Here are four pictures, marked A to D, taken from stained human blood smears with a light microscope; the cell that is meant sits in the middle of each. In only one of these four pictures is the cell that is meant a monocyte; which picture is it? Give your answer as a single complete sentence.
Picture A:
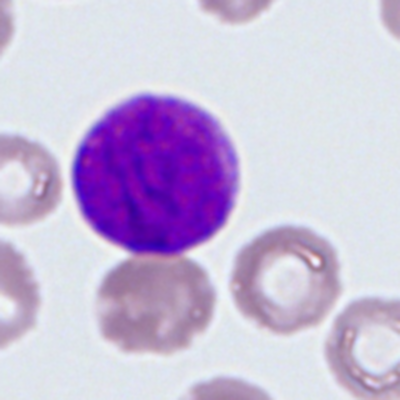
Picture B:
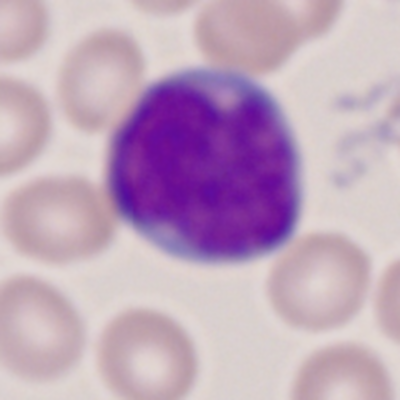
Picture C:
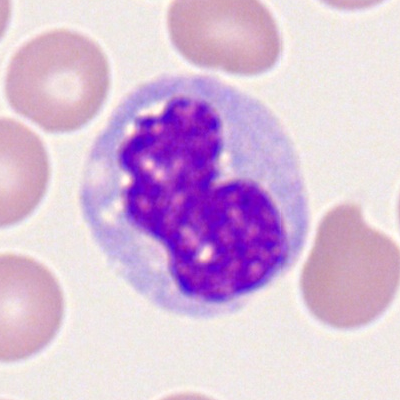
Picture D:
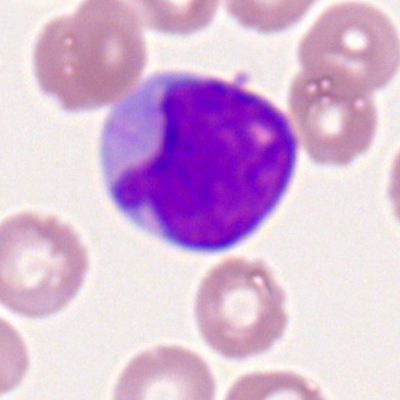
Picture C is the one that shows the monocyte.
